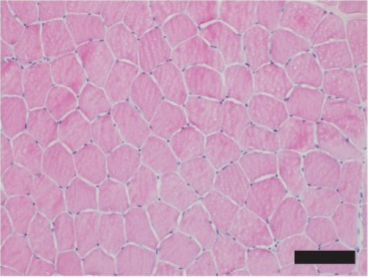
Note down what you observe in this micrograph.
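This cross section of skeletal muscle shows many closely packed muscle fibers with rounded to polygonal outlines. The fibers are fairly uniform in size. Their cytoplasm stains a fairly strong pink, with slightly mottled patches. Small dark blue-purple nuclei lie at the fiber edges, beside thin pale spaces that separate neighbouring fibers.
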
